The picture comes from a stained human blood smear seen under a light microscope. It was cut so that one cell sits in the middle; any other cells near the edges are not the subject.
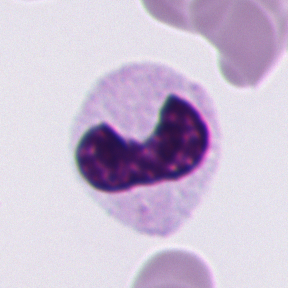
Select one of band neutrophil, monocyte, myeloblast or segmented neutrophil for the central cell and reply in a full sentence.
The cell nearest the centre of this crop is a band neutrophil.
